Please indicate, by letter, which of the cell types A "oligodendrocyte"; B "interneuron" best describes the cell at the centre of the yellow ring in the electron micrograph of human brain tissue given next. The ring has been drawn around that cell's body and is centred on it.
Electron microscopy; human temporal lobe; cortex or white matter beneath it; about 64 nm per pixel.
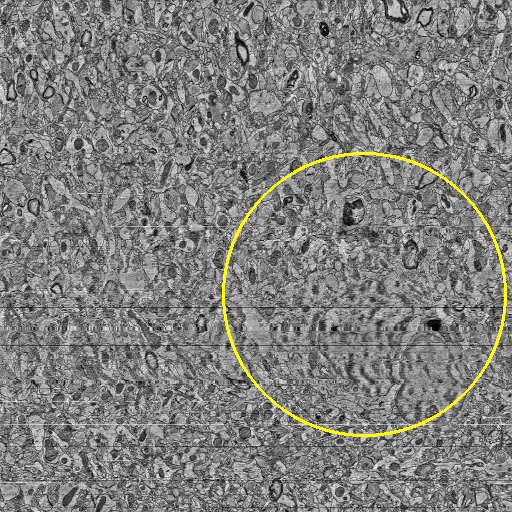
B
